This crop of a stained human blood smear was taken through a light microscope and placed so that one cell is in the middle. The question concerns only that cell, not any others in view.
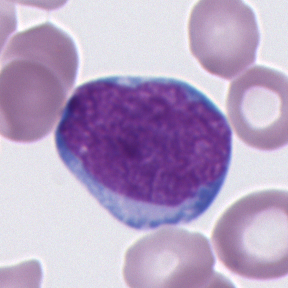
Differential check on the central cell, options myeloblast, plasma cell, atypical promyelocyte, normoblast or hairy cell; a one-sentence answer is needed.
Centred in the crop is a myeloblast.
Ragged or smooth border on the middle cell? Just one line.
Expected answer: a smooth cell outline without projections of any sort.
